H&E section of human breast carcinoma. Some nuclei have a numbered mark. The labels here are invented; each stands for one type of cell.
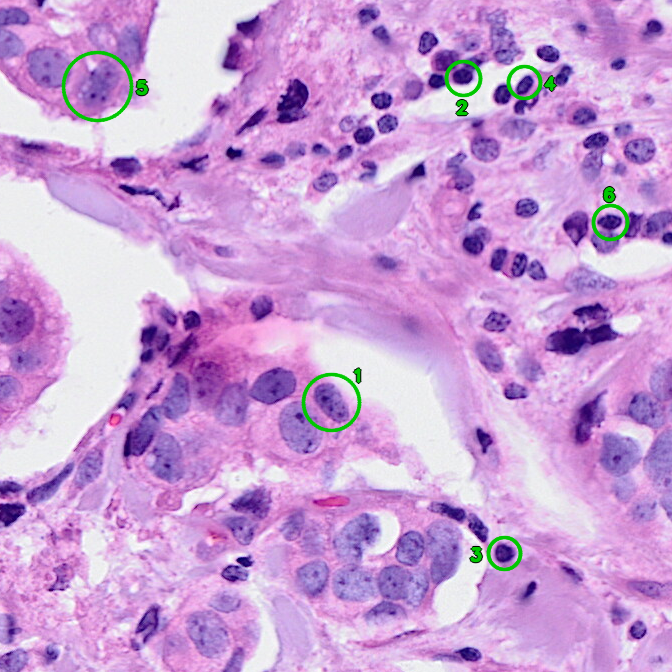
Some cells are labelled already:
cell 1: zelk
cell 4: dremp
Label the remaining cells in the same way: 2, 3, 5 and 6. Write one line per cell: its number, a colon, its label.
2: dremp
3: dremp
5: zelk
6: dremp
